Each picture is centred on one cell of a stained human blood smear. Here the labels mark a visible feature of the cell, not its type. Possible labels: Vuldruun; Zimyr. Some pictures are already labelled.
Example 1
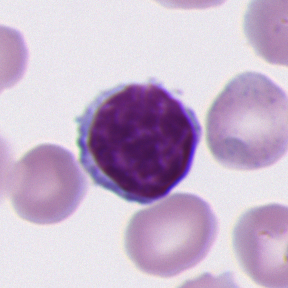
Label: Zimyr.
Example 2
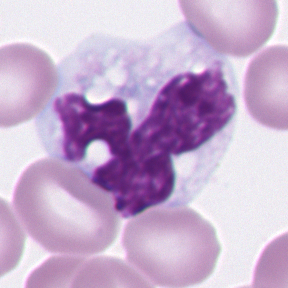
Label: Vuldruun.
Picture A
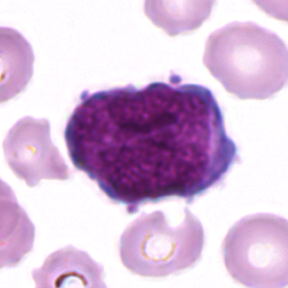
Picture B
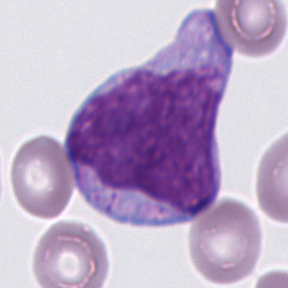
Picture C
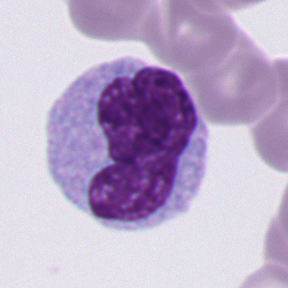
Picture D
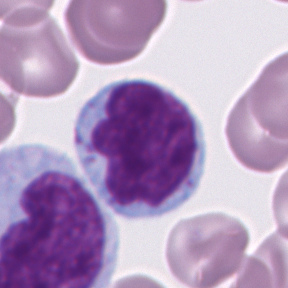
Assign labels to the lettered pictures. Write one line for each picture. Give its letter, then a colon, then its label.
A: Zimyr.
B: Zimyr.
C: Vuldruun.
D: Vuldruun.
